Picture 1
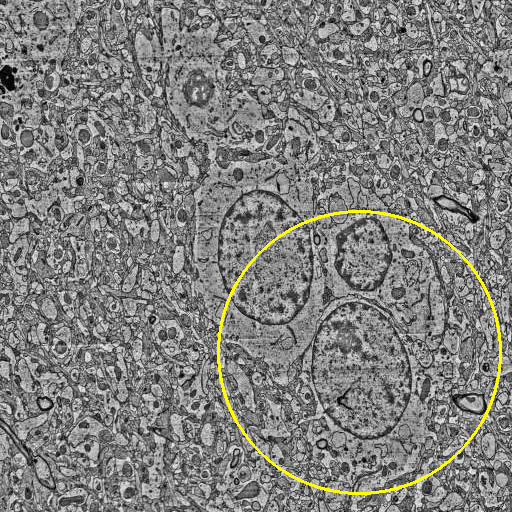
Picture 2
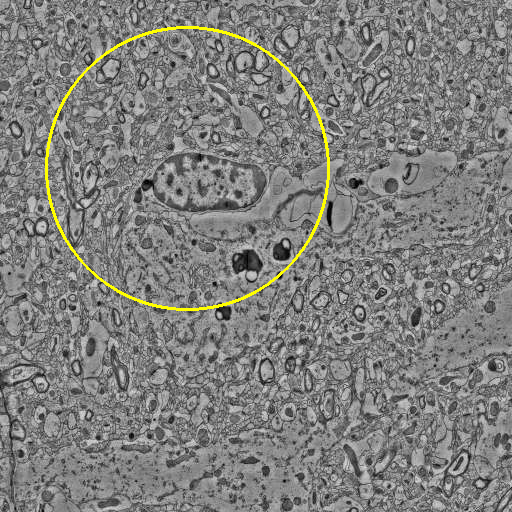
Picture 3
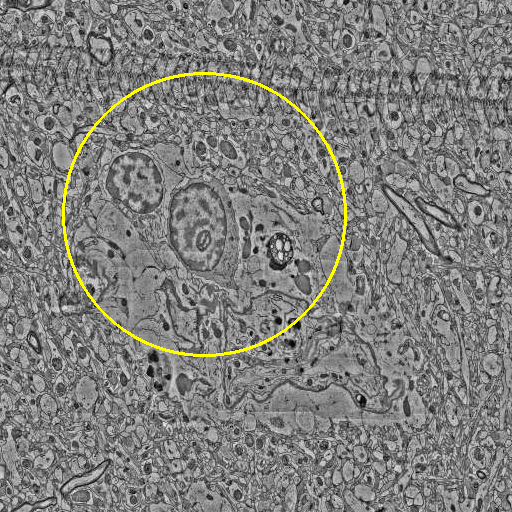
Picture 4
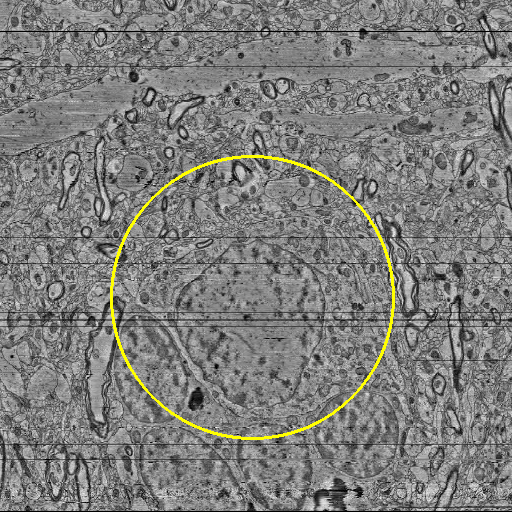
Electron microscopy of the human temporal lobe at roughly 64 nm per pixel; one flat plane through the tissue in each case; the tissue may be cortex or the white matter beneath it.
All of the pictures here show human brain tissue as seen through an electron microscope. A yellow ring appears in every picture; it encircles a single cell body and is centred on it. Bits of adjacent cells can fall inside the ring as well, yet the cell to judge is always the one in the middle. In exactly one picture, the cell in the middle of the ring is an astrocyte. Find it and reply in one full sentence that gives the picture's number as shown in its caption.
Of all the pictures, picture 1 has the right cell at the centre of its ring.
